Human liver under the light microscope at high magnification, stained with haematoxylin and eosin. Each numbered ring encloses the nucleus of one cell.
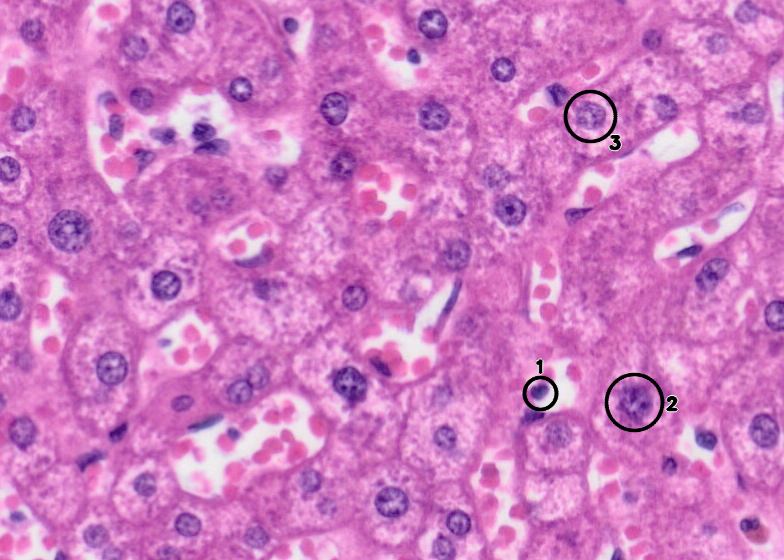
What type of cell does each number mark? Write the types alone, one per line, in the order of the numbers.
lymphocyte
hepatocyte
hepatocyte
